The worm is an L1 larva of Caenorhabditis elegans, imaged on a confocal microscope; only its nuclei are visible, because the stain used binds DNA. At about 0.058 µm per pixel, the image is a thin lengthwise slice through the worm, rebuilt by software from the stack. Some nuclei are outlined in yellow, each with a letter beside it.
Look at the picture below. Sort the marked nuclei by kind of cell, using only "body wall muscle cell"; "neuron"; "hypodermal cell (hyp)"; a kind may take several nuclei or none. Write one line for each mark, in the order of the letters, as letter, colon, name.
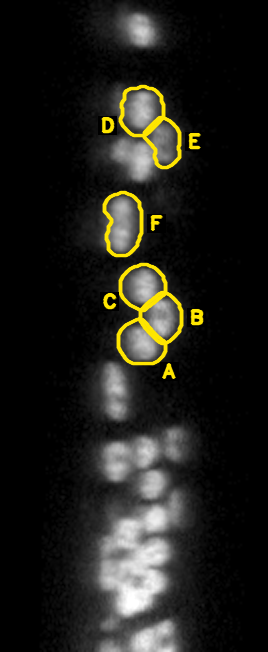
A: neuron
B: body wall muscle cell
C: neuron
D: neuron
E: body wall muscle cell
F: body wall muscle cell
